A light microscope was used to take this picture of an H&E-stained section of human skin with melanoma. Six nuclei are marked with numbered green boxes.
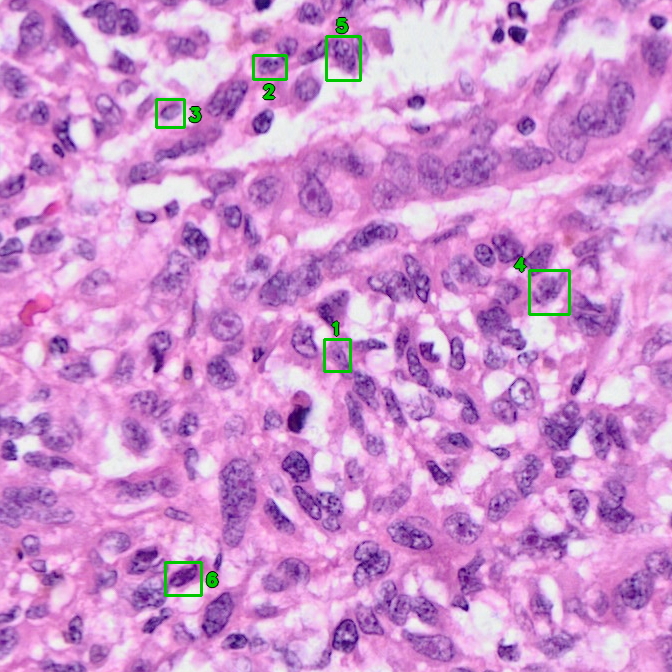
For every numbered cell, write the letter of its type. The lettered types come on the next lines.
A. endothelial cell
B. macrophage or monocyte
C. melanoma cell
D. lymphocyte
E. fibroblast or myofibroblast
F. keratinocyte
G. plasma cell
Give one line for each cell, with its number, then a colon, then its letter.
1: C
2: B
3: B
4: C
5: C
6: C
